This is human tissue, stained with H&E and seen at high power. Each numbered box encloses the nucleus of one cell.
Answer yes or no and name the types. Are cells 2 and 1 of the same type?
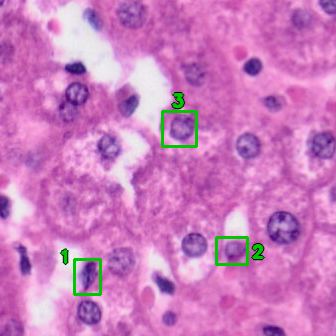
No, whereas cell 1 is an endothelial cell, cell 2 is a Kupffer cell.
